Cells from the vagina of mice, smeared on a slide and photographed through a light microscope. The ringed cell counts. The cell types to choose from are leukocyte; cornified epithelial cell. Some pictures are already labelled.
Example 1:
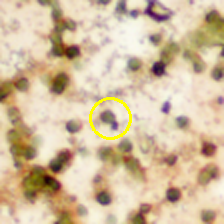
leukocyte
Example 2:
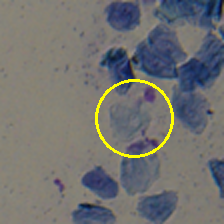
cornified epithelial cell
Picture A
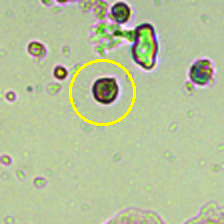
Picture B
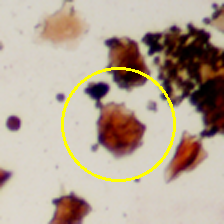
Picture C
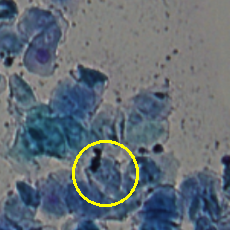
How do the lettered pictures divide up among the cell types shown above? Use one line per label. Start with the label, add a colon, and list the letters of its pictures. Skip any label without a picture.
leukocyte: A
cornified epithelial cell: B, C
